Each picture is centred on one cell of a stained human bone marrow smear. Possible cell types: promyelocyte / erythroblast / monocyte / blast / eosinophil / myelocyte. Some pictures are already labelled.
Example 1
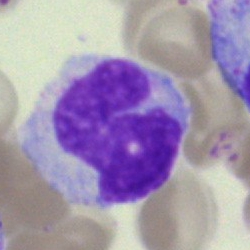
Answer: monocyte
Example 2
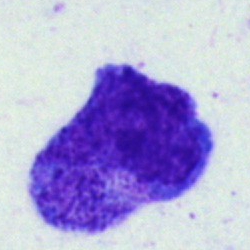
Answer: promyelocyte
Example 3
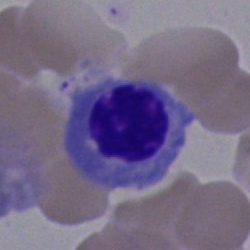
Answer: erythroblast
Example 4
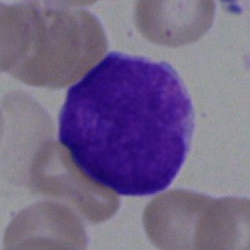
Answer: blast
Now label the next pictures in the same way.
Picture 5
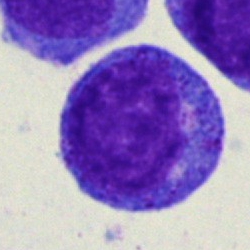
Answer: promyelocyte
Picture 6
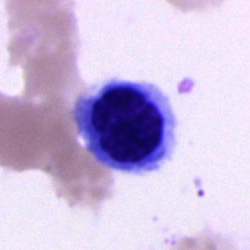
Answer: erythroblast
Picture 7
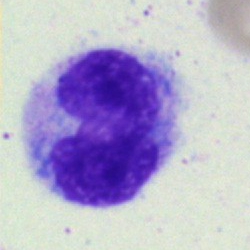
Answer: monocyte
